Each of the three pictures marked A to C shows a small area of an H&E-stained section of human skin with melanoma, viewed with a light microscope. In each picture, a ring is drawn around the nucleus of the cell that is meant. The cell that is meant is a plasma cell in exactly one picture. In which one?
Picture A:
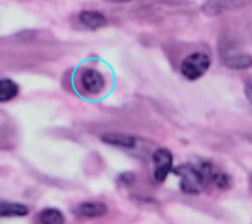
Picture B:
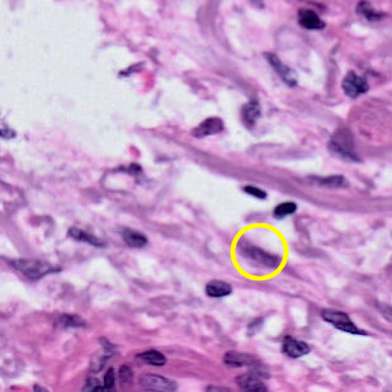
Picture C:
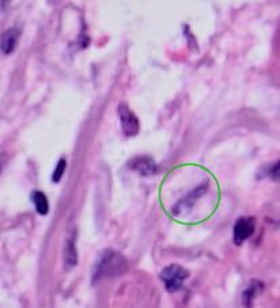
A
